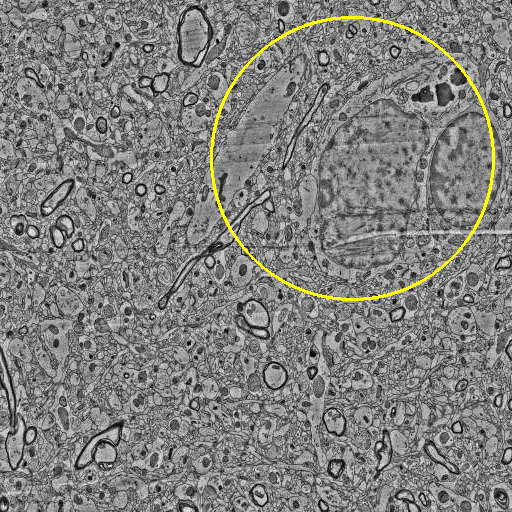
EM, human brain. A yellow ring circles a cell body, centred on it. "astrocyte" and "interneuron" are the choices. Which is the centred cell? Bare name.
interneuron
